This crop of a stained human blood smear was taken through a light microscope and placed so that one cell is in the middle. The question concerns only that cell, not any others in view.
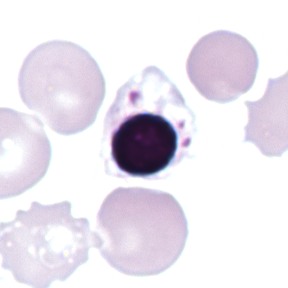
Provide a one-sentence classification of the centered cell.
The cell centered in this field of view is a normoblast.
